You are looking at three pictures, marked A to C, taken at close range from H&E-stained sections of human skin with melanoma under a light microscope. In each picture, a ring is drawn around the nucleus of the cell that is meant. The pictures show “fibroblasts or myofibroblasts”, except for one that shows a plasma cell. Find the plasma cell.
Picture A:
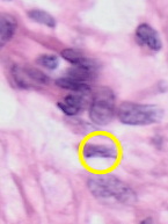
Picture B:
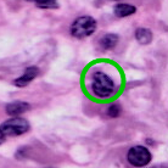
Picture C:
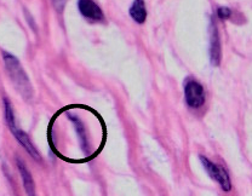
B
